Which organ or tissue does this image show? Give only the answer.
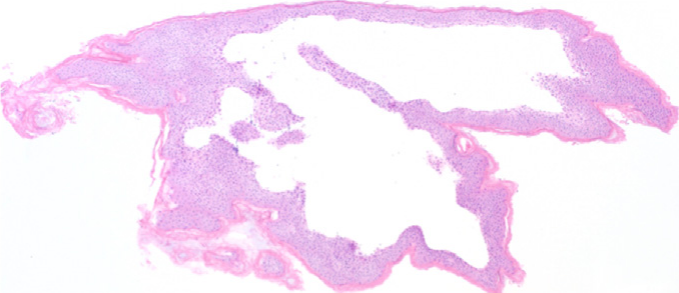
Full-thickness vital epidermis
